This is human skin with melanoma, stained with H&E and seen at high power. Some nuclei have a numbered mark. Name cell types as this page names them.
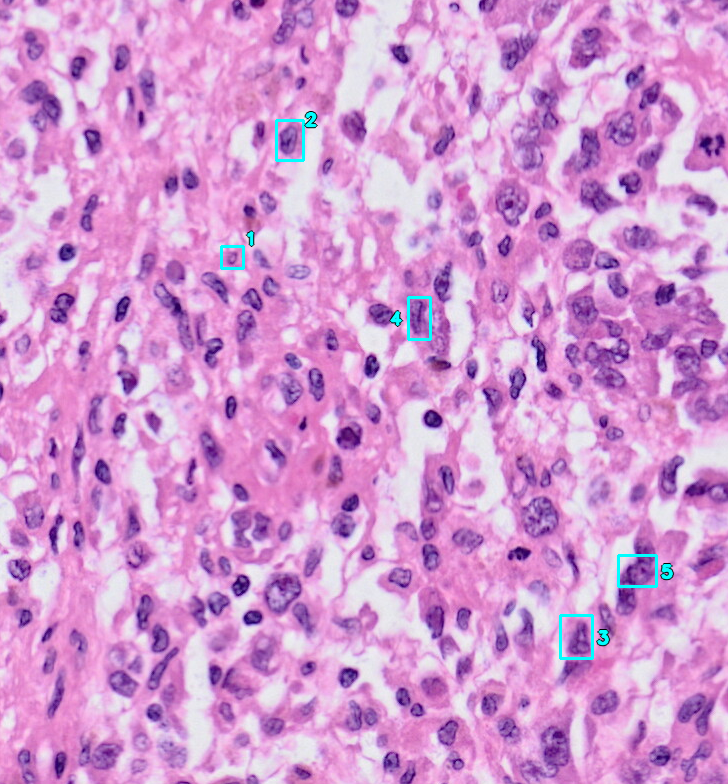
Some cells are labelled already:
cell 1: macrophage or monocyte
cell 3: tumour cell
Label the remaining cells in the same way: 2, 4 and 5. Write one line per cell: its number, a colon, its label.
2: macrophage or monocyte
4: tumour cell
5: tumour cell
